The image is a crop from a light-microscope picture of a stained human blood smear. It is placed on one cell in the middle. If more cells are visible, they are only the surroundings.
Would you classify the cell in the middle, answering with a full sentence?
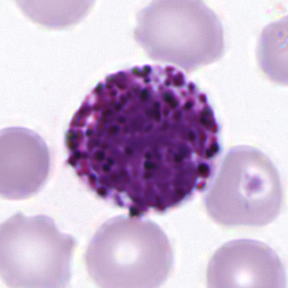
The center cell of this crop is a basophil.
